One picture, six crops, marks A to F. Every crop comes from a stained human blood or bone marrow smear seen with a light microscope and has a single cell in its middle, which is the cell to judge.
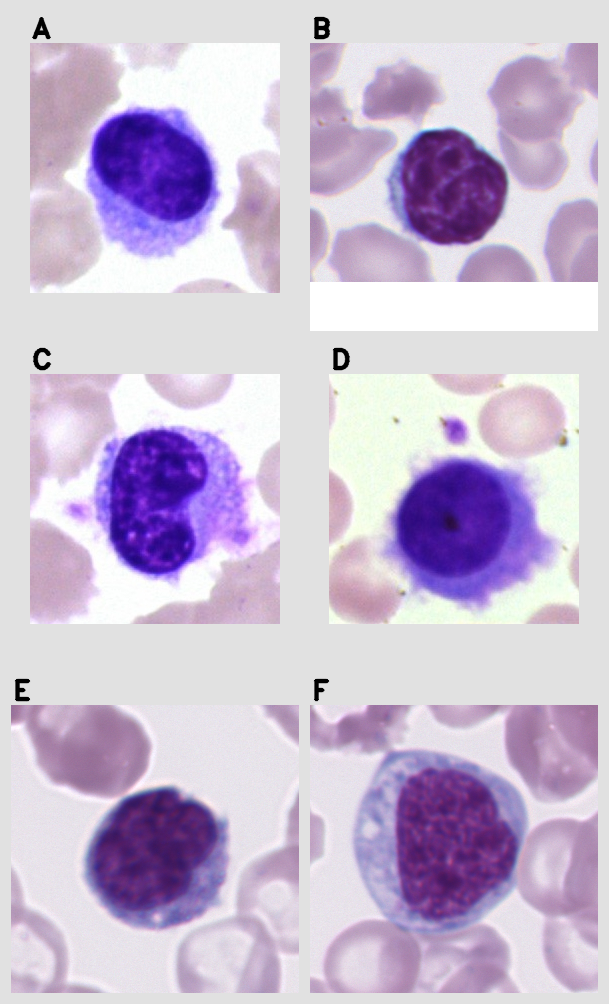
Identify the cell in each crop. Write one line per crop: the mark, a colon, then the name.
A: hairy cell
B: lymphocyte
C: hairy cell
D: hairy cell
E: monocyte
F: monocyte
